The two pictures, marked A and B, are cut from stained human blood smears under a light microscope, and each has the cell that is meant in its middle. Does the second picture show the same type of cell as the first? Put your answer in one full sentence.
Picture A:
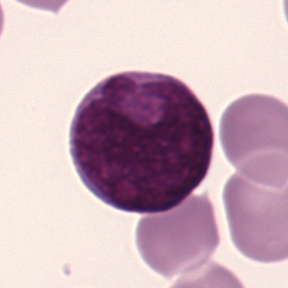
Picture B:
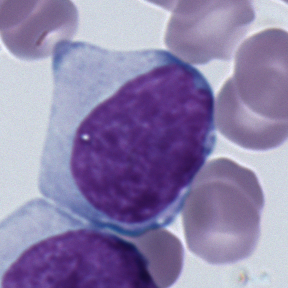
Yes, both are myeloblasts.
